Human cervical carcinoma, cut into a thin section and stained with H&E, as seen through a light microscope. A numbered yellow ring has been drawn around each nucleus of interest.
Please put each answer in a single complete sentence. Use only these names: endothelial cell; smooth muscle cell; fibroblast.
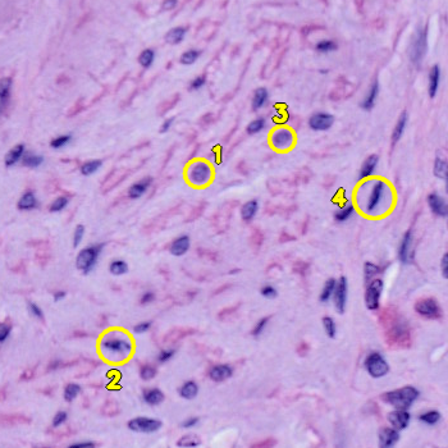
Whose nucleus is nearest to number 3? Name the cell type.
The cell nearest to number 3 is a smooth muscle cell.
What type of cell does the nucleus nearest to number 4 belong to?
It is a fibroblast whose nucleus is nearest to number 4.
